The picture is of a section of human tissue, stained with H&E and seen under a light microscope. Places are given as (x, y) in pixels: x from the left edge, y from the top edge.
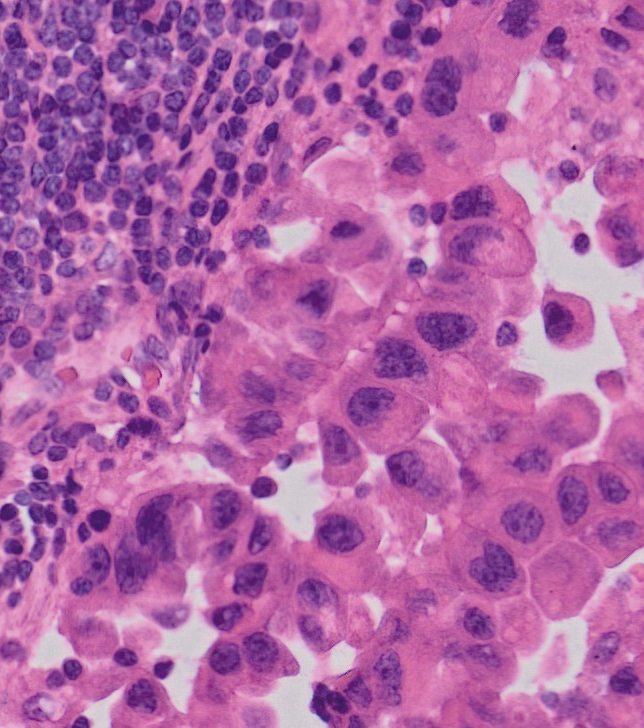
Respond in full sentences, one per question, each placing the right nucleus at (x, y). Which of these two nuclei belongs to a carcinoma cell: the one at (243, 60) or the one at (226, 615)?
The nucleus lying at (226, 615) is the nucleus of a carcinoma cell.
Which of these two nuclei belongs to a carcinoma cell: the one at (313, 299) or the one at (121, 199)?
Between the pair, the nucleus at (313, 299) belongs to a carcinoma cell.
